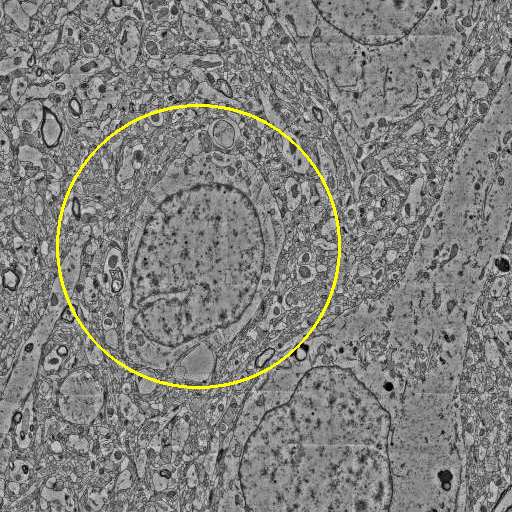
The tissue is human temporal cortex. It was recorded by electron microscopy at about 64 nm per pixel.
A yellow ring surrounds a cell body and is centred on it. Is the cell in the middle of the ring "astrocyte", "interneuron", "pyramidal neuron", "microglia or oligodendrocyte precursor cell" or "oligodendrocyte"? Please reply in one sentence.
The ring is centred on an interneuron.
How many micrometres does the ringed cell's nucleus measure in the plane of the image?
In this plane, roughly 11 by 8 micrometres.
